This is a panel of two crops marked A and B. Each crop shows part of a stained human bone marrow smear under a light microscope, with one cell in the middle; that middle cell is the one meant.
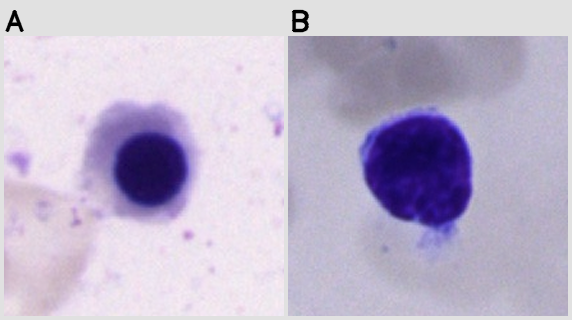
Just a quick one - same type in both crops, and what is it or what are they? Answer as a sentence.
No, while an erythroblast is found in crop A, a lymphocyte is found in crop B.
